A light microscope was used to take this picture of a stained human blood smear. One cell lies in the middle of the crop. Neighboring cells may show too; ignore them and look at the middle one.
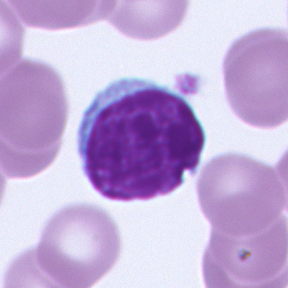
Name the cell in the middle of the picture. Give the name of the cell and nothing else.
lymphocyte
